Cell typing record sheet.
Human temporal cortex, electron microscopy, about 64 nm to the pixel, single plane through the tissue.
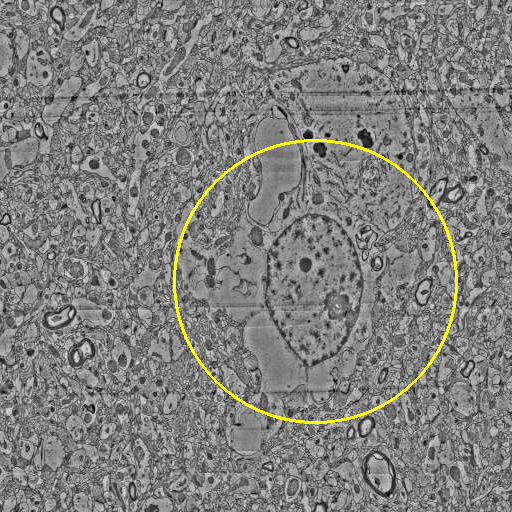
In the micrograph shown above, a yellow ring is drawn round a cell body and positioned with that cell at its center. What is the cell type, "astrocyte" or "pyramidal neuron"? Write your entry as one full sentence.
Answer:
The cell body at the center of the ring belongs to an astrocyte.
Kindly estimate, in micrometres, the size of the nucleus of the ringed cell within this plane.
In this plane the nucleus is clearly longer than it is wide, at approximately 10 by 6 micrometres.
